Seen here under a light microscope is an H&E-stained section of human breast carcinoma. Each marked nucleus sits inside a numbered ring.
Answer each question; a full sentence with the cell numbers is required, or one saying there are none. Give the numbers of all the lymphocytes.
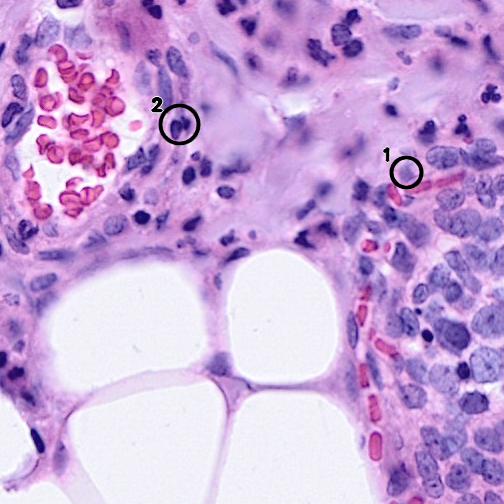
There is just one numbered cell that is a lymphocyte, and it is cell 2.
